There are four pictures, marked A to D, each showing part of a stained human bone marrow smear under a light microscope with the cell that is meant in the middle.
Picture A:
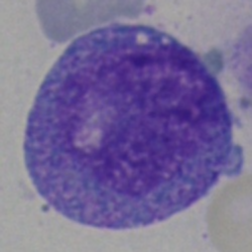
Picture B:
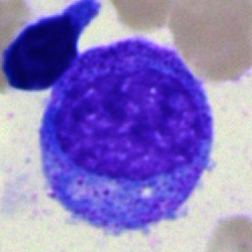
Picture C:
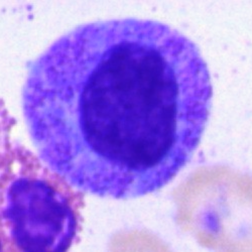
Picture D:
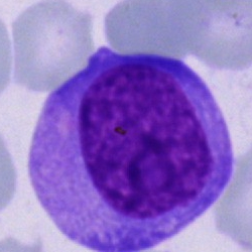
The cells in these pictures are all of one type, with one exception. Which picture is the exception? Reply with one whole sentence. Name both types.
Unlike the rest, which show promyelocytes, picture D shows a blast.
